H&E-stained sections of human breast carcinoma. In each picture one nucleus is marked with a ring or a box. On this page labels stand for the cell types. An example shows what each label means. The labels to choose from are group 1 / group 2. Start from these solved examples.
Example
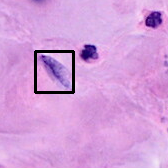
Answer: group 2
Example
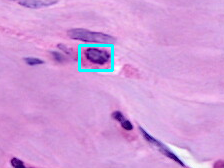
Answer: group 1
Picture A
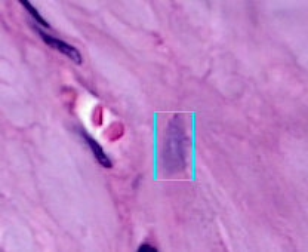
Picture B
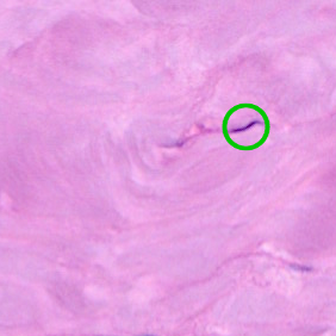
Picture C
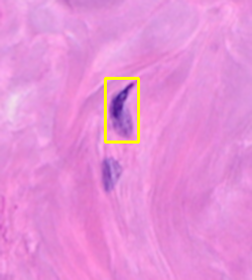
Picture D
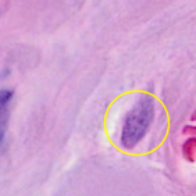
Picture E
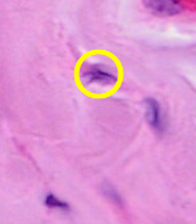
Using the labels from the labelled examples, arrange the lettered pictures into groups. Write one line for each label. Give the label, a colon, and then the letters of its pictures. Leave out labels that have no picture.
group 2: A, B, C, D, E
